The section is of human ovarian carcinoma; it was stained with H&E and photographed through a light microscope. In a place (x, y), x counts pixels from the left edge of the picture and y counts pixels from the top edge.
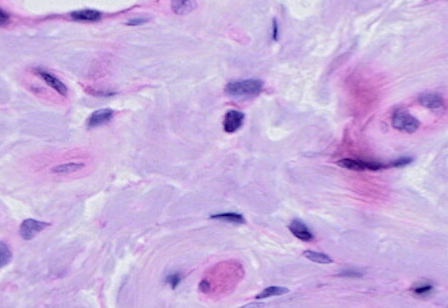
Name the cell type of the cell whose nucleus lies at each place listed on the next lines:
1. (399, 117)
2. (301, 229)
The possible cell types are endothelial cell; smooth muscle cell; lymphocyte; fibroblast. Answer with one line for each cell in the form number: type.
1: endothelial cell
2: fibroblast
